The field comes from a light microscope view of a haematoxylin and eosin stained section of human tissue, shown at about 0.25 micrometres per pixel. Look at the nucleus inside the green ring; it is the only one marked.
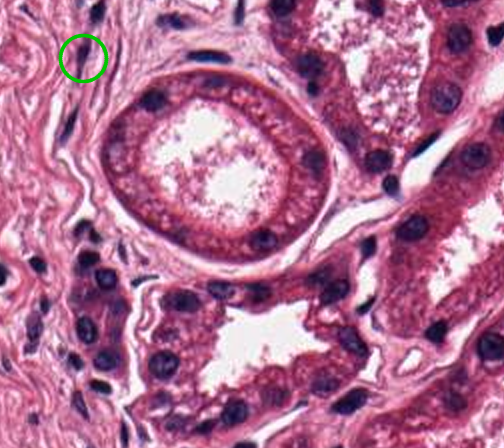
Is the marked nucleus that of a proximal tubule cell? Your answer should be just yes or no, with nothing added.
no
